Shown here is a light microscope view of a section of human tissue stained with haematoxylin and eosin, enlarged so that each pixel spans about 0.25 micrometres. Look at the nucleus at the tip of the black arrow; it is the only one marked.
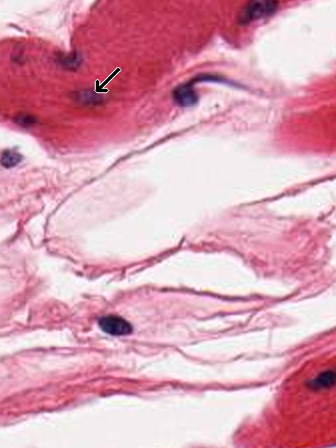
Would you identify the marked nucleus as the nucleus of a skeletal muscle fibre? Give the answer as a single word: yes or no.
yes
